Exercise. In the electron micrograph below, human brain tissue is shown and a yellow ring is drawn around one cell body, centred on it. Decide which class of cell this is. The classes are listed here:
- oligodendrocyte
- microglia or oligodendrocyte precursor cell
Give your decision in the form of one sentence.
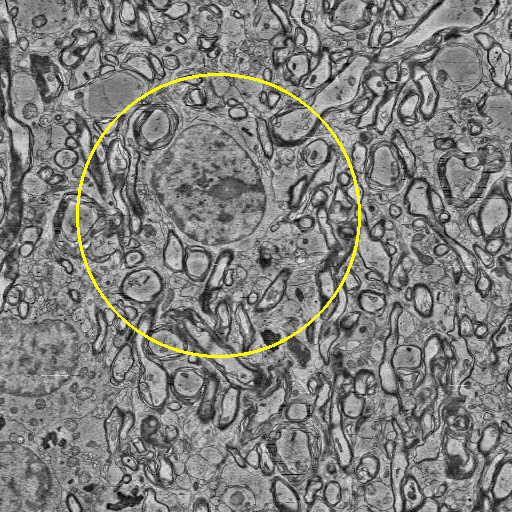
The cell body marked by the ring belongs to a microglial cell or oligodendrocyte precursor cell.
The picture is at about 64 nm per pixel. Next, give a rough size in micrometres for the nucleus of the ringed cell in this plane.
Roughly 9 by 7 micrometres is the size of the nucleus in this plane.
